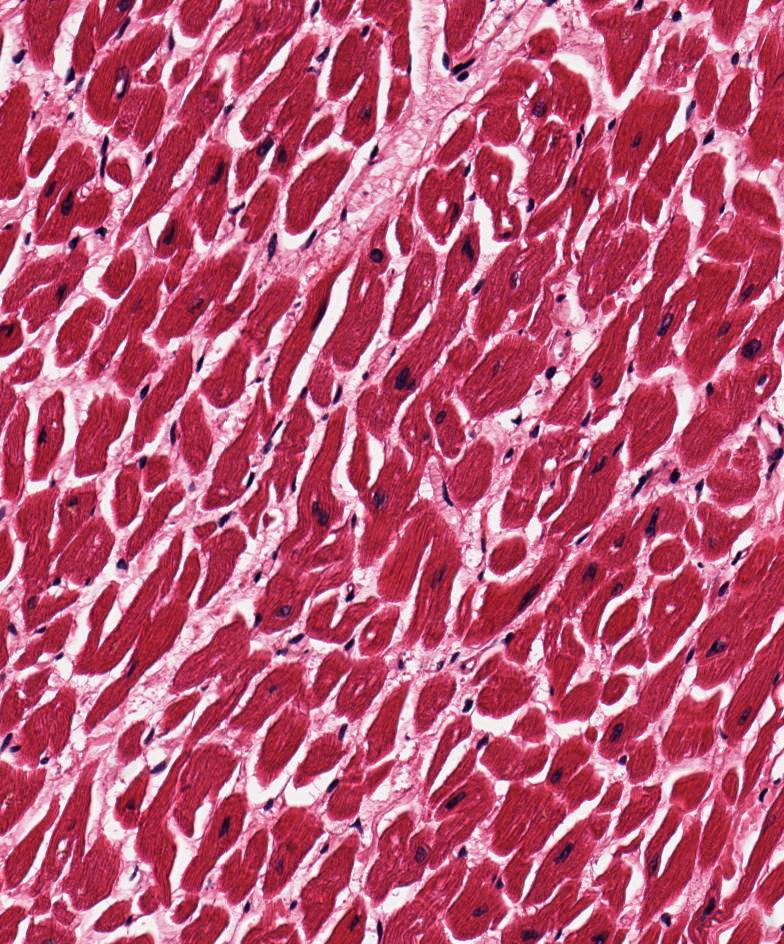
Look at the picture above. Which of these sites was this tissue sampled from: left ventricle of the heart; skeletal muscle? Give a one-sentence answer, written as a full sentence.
Tissue sampled from the left ventricle of the heart forms this section.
